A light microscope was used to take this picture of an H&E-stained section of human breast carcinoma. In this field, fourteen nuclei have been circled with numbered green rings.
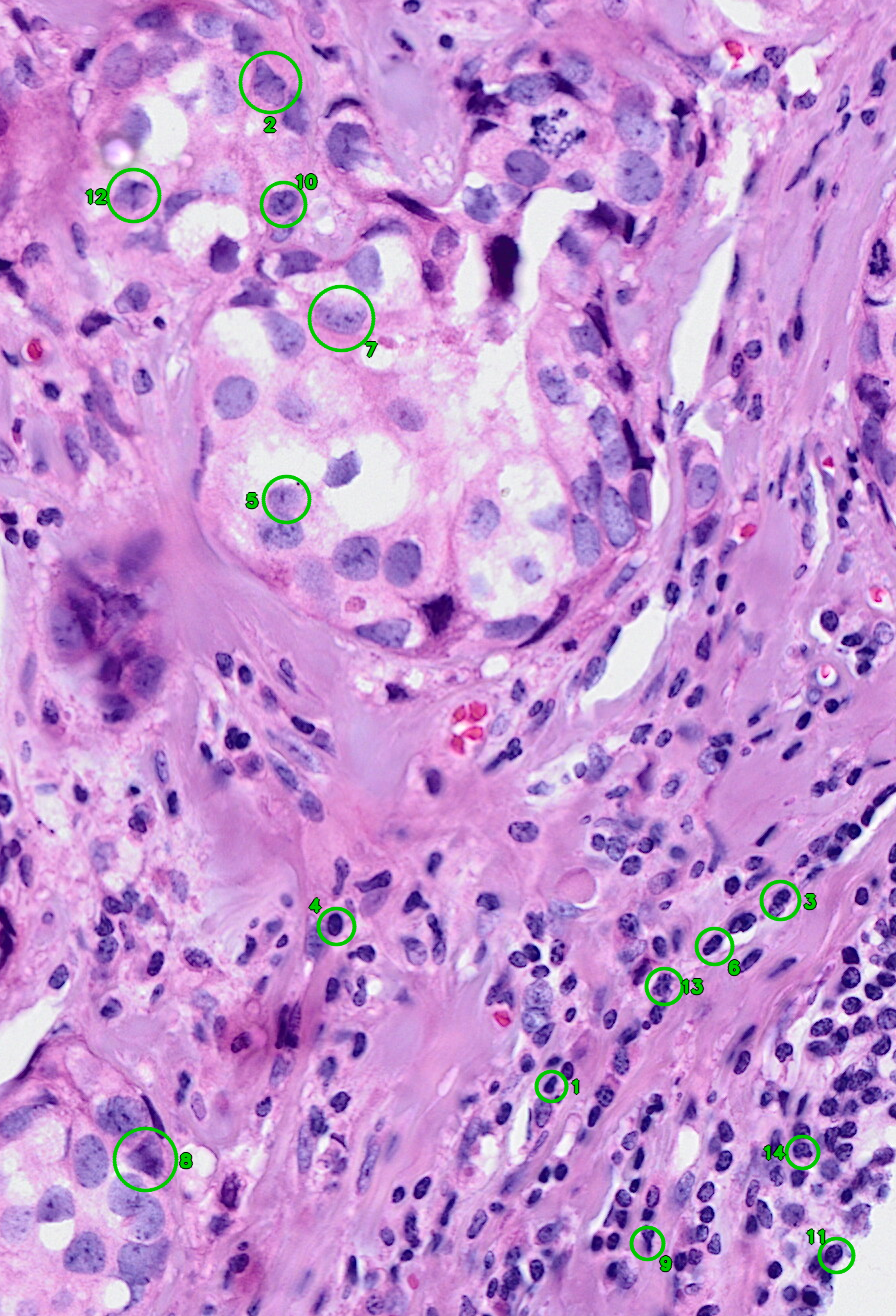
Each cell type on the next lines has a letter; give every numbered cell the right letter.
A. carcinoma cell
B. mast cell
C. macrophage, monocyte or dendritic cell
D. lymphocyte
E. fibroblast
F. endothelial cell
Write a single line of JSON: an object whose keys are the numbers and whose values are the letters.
{"1": "D", "2": "A", "3": "D", "4": "D", "5": "A", "6": "D", "7": "A", "8": "A", "9": "D", "10": "A", "11": "D", "12": "A", "13": "D", "14": "D"}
